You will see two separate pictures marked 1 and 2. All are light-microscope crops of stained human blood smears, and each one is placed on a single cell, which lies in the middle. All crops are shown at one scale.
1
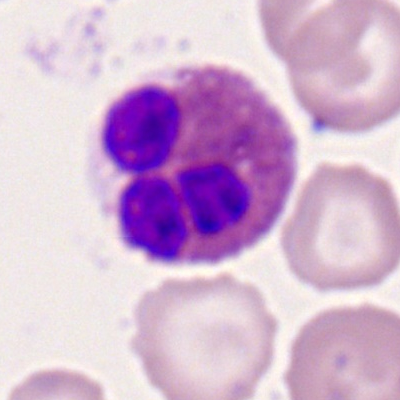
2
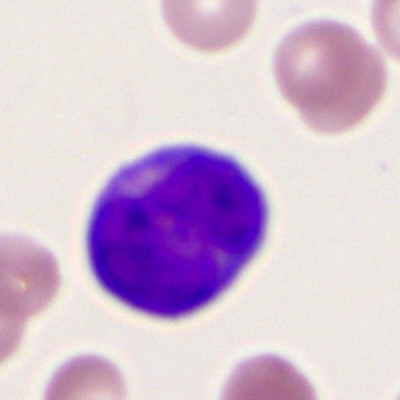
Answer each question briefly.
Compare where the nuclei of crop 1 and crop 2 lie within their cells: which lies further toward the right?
2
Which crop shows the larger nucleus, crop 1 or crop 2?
2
